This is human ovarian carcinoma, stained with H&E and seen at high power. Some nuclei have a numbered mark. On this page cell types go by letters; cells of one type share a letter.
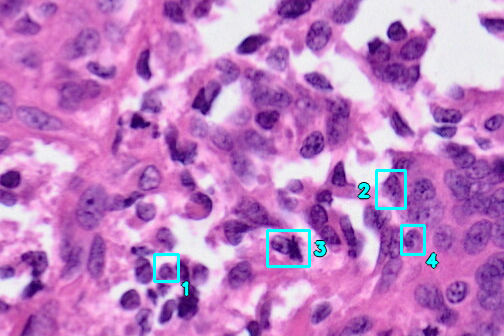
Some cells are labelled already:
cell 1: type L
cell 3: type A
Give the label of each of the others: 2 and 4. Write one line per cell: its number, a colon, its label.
2: type L
4: type A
